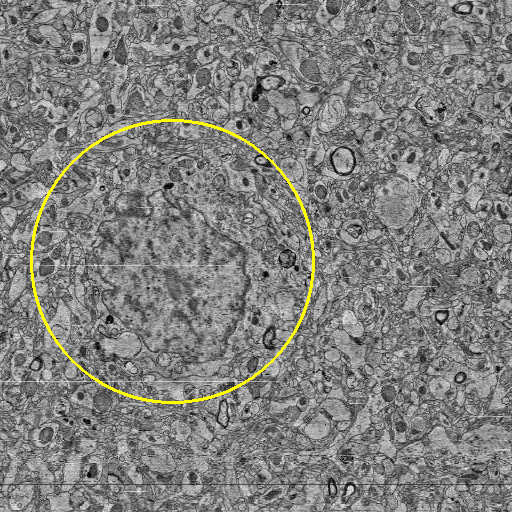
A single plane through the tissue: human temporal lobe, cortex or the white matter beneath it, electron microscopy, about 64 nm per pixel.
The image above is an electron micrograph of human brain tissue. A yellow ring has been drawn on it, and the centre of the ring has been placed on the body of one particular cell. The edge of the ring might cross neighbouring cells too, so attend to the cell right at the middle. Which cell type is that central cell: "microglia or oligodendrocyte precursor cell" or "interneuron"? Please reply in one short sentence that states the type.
The central cell in the ring is an interneuron.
